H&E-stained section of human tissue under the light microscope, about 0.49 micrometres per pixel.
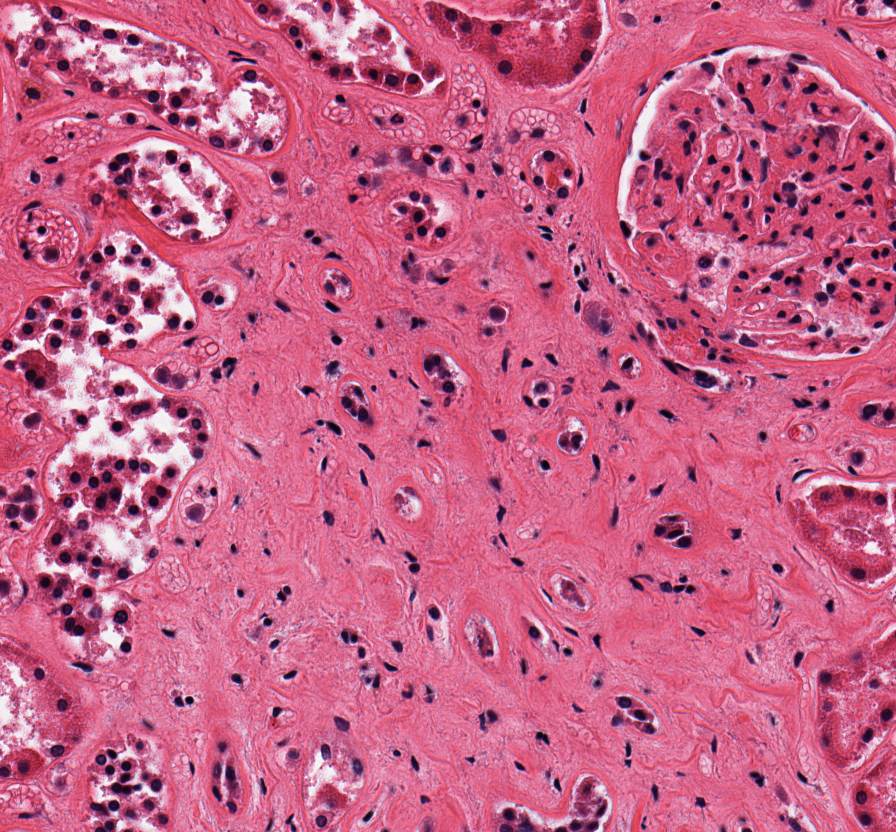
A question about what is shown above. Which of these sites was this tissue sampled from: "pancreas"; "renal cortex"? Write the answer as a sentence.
The site this tissue was sampled from is the renal cortex.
